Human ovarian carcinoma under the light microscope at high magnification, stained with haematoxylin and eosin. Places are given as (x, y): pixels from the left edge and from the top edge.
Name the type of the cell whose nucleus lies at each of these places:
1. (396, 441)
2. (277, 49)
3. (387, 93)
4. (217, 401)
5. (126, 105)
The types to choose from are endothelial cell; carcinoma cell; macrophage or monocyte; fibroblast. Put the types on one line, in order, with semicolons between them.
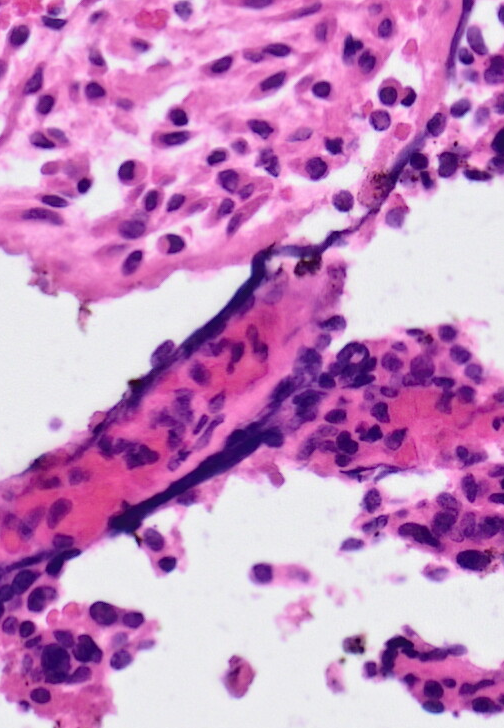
endothelial cell; fibroblast; macrophage or monocyte; endothelial cell; fibroblast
